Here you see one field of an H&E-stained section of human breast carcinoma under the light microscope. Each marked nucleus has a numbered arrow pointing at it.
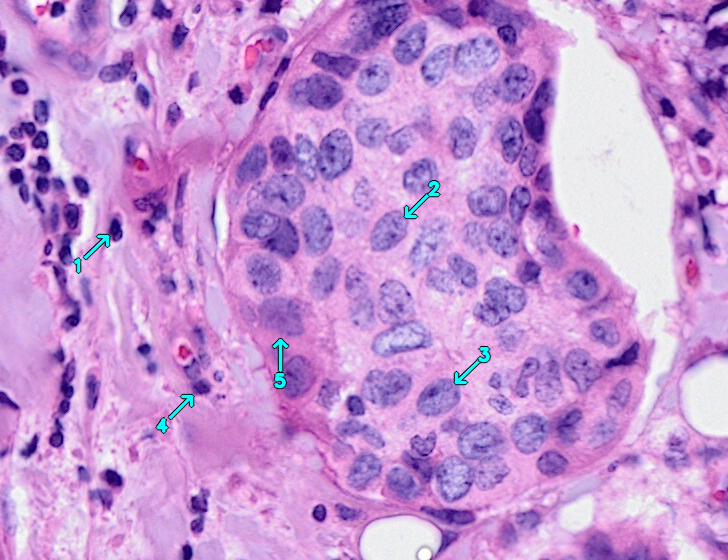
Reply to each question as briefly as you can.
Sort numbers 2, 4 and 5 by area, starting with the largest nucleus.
5, 2, 4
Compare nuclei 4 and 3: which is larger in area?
3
